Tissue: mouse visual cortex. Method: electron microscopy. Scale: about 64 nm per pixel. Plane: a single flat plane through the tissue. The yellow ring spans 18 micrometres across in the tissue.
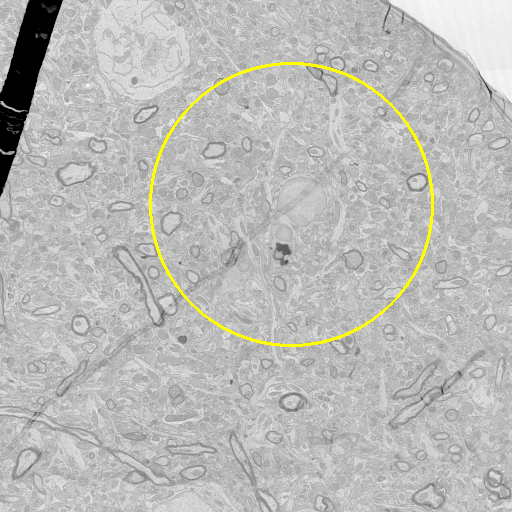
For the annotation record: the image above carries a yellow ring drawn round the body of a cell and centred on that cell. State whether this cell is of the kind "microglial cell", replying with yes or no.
Yes, this cell is of that kind.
